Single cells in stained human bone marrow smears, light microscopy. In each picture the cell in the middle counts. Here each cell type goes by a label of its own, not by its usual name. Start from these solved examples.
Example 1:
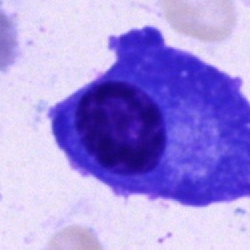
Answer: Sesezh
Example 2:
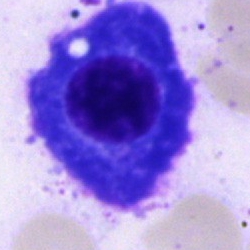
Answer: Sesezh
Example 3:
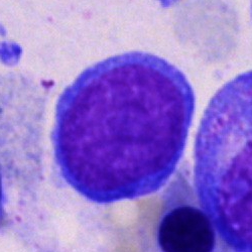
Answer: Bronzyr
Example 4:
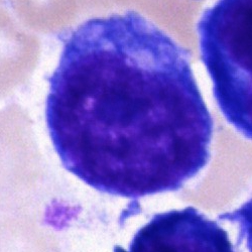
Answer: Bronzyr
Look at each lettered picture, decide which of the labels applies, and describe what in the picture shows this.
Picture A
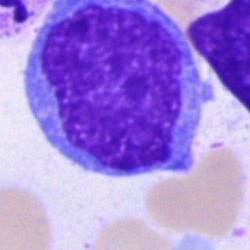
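Label: Bronzyr. The nucleus fills most of the cell.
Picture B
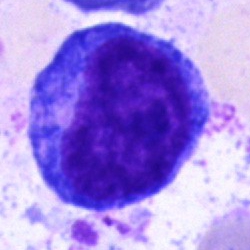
Label: Bronzyr. The nucleus fills most of the cell and sits toward the right side.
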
